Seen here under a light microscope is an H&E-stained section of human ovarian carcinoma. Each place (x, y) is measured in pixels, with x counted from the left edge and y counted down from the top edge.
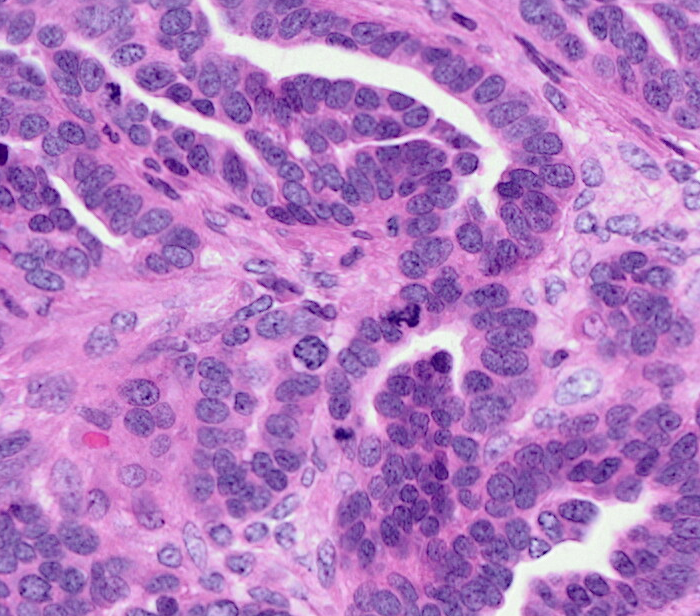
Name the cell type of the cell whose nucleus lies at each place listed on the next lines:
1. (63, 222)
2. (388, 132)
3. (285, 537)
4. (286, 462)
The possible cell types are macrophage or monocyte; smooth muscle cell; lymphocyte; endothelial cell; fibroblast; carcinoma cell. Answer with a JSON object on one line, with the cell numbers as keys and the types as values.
{"1": "carcinoma cell", "2": "carcinoma cell", "3": "fibroblast", "4": "carcinoma cell"}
